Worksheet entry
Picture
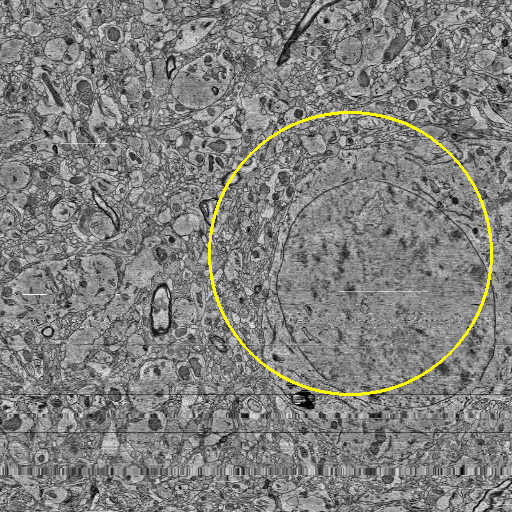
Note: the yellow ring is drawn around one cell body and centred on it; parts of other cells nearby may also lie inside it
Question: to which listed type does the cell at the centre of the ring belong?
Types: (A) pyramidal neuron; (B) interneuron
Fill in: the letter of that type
A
